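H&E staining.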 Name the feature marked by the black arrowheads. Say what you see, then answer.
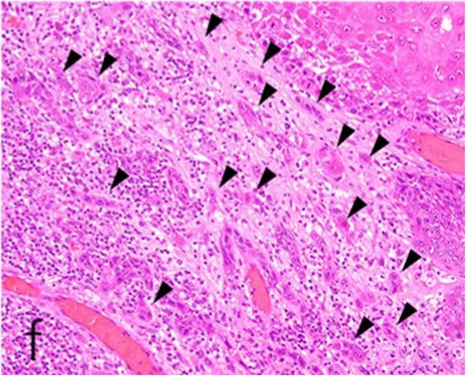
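Many arrowheads point to isolated small groups of pink-cytoplasm cells scattered in the stroma. The groups are separate from the main tumor mass at the upper right.
Budding.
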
